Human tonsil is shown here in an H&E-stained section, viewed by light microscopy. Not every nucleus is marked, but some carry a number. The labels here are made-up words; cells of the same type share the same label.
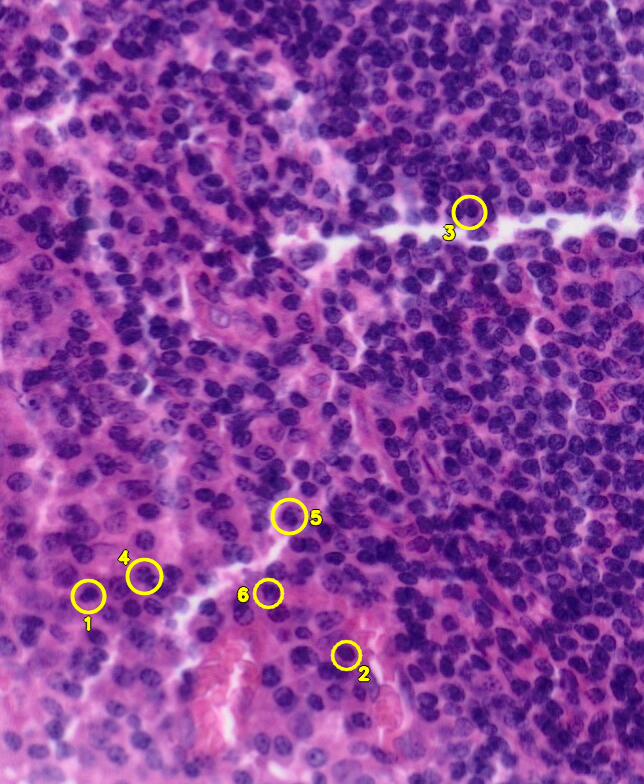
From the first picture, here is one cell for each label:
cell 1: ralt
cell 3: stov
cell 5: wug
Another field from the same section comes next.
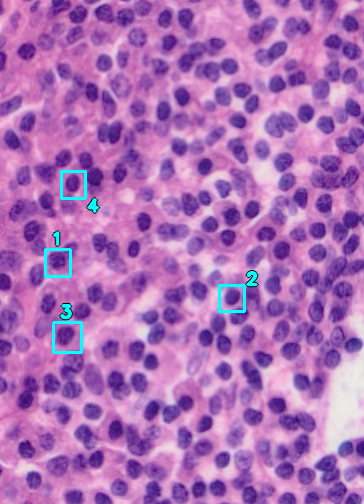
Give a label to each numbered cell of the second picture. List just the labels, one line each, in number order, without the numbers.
wug
stov
wug
wug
